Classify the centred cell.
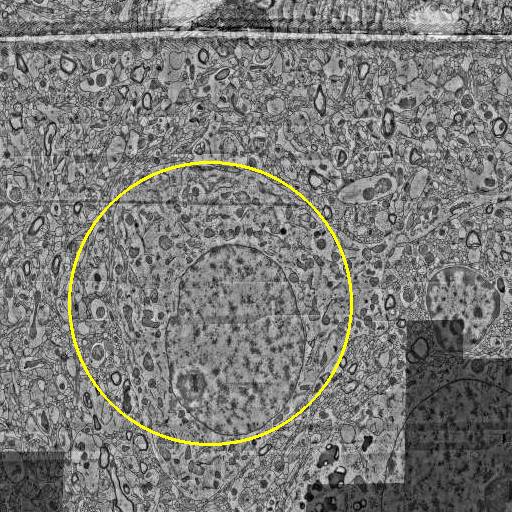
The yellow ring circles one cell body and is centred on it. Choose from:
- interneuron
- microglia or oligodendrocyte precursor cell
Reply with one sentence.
The ring is centred on an interneuron.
